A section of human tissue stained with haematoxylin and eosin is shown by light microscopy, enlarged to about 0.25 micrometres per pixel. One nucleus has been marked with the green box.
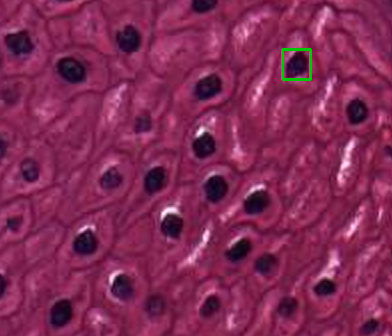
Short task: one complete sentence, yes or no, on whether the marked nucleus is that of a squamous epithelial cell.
Yes, the nucleus shown with the mark belongs to a squamous epithelial cell.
